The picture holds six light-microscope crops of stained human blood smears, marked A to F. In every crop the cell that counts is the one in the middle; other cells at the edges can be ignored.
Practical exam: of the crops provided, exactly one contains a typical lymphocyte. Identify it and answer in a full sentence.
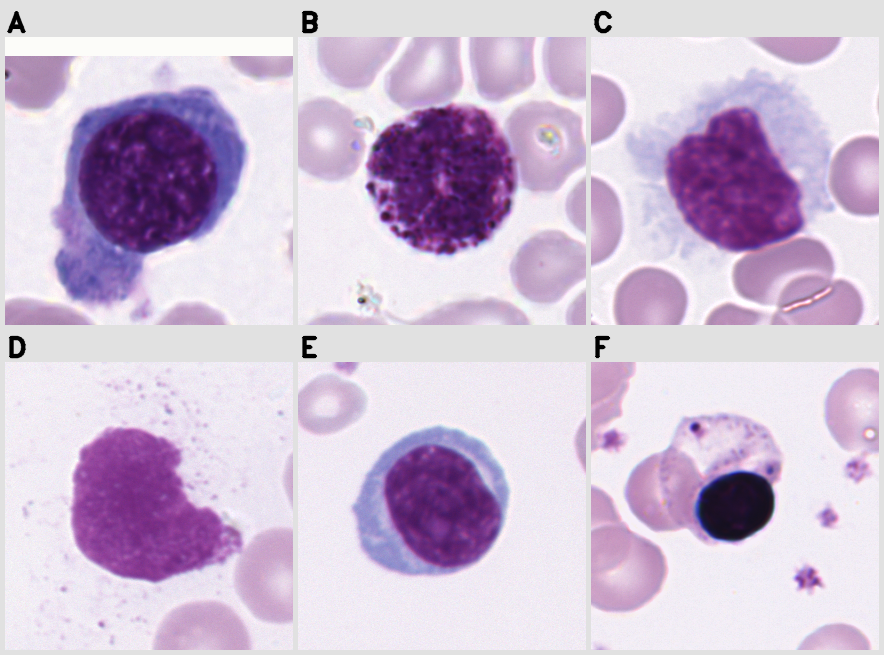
Of the crops given, a typical lymphocyte is found in crop E.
